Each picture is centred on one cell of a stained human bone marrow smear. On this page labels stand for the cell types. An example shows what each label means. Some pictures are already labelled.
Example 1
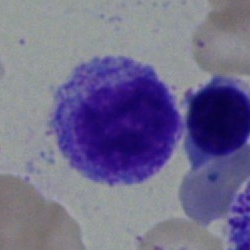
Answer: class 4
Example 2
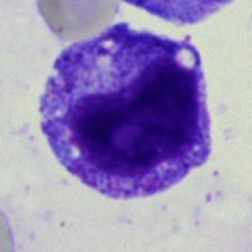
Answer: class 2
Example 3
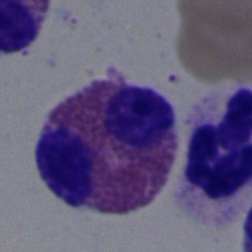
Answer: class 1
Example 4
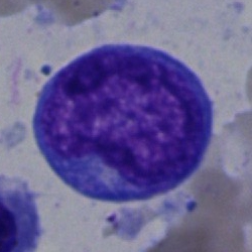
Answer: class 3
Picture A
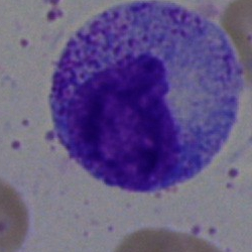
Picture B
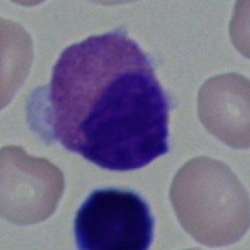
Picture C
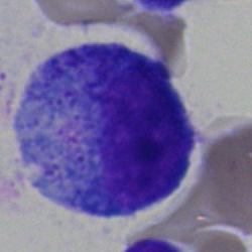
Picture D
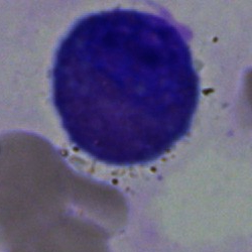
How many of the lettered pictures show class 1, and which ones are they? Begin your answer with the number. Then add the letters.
2, namely B, D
